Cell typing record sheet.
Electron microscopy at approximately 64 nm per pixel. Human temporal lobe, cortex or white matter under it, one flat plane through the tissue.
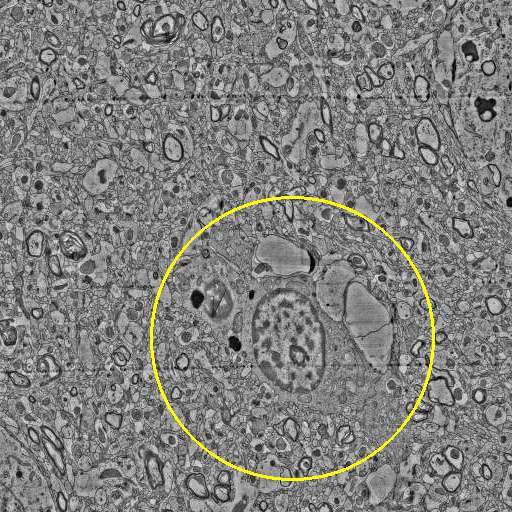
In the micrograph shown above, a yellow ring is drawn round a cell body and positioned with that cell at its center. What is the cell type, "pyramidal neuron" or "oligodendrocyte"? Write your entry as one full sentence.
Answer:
The cell body at the center of the ring belongs to an oligodendrocyte.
